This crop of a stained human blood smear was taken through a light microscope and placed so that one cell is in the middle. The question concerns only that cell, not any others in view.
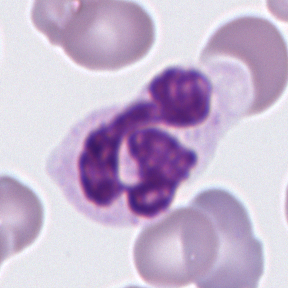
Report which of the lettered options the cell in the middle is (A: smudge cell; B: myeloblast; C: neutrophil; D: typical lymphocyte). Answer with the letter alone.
C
